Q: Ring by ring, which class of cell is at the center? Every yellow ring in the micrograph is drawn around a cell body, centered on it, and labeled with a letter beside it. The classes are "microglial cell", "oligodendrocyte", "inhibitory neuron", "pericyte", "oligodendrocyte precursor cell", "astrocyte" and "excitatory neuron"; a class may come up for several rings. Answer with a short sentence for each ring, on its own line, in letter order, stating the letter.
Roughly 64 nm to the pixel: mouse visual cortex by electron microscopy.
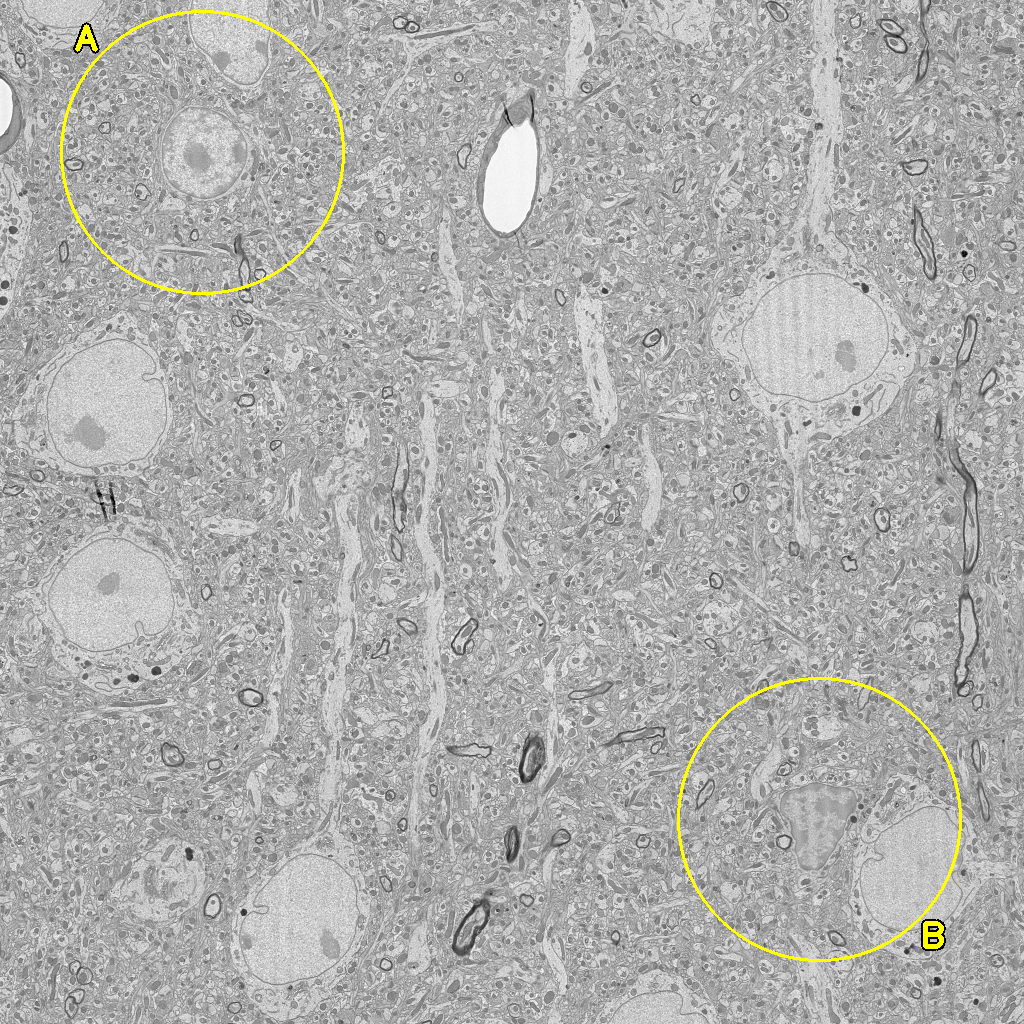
Ring A holds an oligodendrocyte at its center.
Ring B holds a microglial cell at its center.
